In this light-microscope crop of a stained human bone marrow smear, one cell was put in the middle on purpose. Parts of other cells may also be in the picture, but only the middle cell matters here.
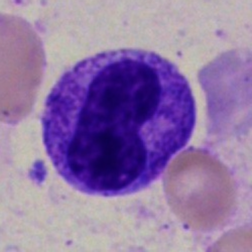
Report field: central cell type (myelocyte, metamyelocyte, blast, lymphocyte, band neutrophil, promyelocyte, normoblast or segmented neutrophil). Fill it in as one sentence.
In the middle of this smear crop is a band neutrophil.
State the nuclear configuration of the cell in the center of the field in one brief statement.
The nucleus is one compact mass, round, oval or kidney-shaped in outline.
